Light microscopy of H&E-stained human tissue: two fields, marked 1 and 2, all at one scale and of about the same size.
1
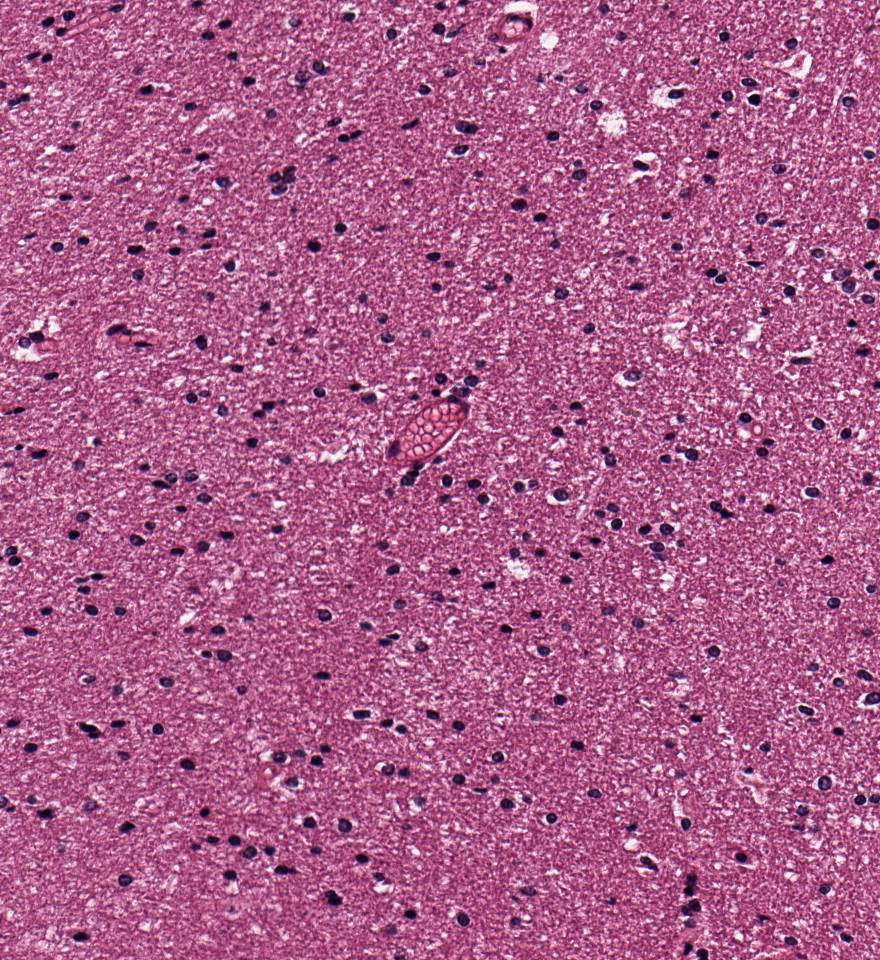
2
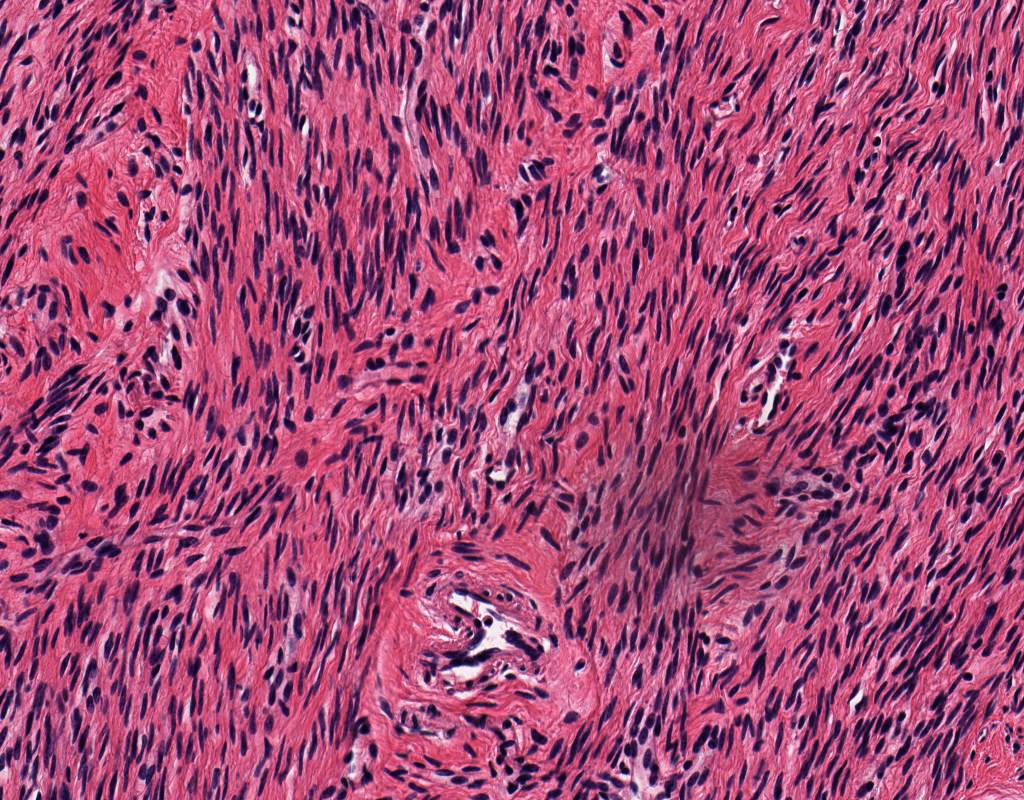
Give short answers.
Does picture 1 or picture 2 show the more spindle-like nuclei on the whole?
2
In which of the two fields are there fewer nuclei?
1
